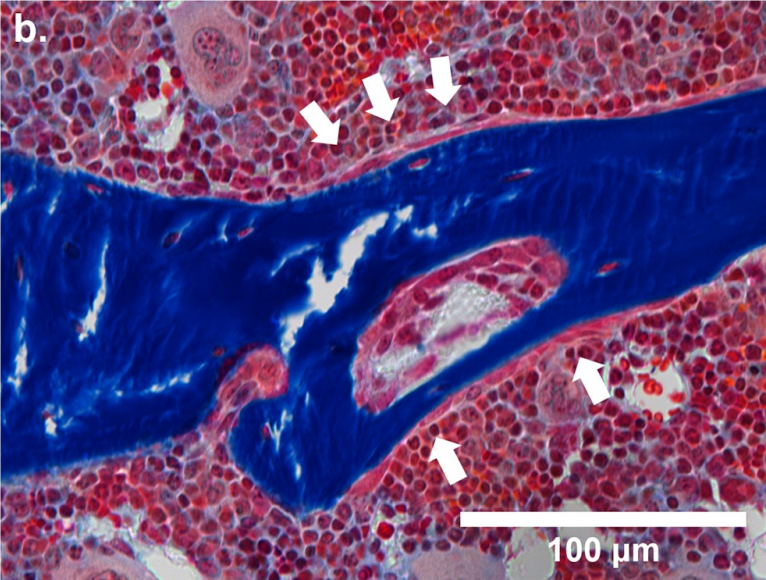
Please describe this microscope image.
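A thick blue-stained trabecula of bone crosses the marrow diagonally, containing small dark nuclei in lacunae, some white clefts, and an elongated channel filled with pink-red tissue. A thin red seam of osteoid lines both its upper and lower surfaces, with small cells lying flat along the bone surface. Around it the marrow is crowded with small round red-staining cells with dark nuclei, plus occasional large cells with lobed nuclei.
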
